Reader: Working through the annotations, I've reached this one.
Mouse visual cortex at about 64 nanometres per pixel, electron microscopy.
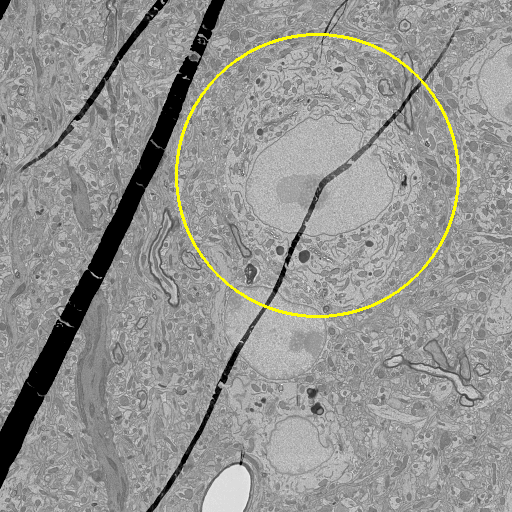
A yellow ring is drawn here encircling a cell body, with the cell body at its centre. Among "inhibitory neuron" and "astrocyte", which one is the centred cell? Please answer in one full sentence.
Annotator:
The cell body at the centre of the yellow ring in this image belongs to an inhibitory neuron.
